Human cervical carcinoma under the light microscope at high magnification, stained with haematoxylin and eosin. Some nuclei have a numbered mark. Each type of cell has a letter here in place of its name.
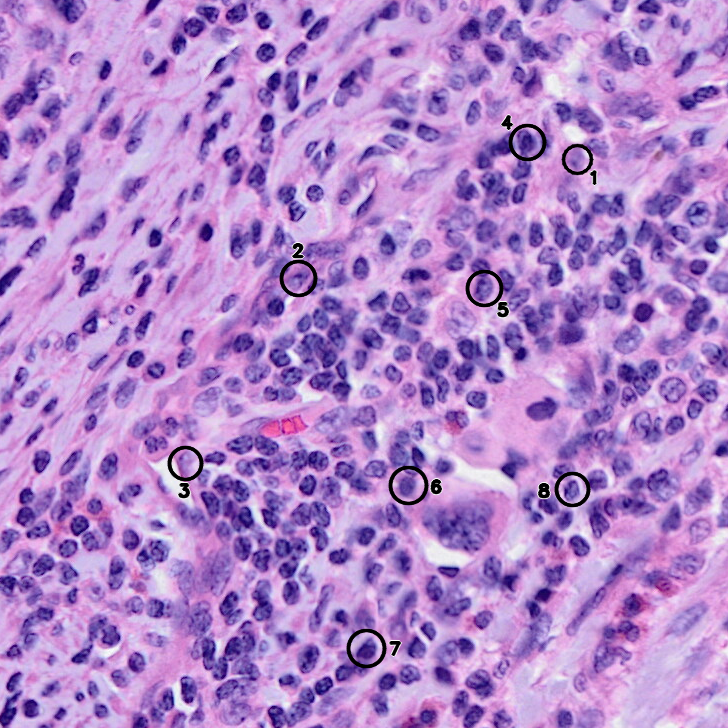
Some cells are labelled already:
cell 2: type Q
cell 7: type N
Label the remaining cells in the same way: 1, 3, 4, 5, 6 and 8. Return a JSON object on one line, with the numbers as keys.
{"1": "type Q", "3": "type Q", "4": "type N", "5": "type N", "6": "type N", "8": "type N"}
